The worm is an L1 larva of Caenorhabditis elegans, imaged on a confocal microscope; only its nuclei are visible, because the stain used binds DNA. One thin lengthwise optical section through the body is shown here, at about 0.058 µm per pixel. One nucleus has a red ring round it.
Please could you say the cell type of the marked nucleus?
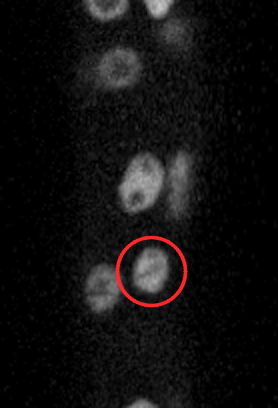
P cell (ventral epidermal blast cell)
